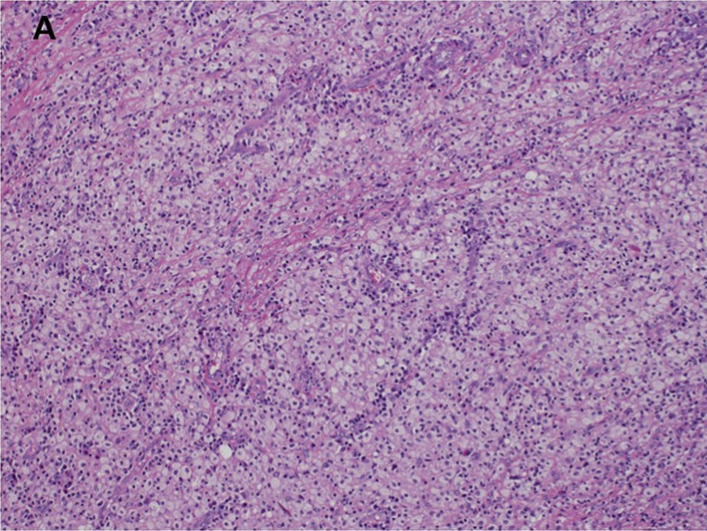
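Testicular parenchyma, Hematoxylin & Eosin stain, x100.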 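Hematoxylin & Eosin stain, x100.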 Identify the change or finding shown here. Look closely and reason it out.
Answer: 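Xanthogranulomatous inflammation. Sheets of pale cells with clear to foamy cytoplasm fill the field. Bands of darker small round nuclei are scattered among the pale cells. Thin pink fibrous strands run through the tissue. No seminiferous tubules are visible.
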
